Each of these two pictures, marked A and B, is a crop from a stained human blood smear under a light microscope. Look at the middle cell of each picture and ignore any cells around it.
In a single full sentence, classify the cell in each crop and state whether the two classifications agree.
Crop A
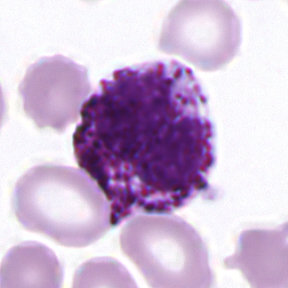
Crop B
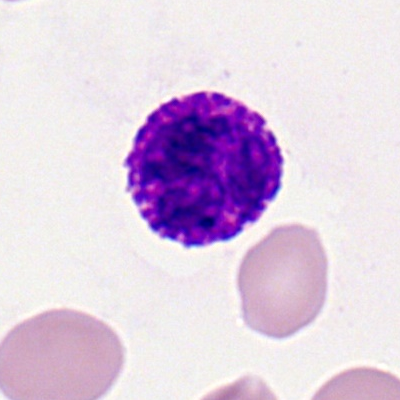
Yes, the cells at the centre of the two crops are both basophils.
